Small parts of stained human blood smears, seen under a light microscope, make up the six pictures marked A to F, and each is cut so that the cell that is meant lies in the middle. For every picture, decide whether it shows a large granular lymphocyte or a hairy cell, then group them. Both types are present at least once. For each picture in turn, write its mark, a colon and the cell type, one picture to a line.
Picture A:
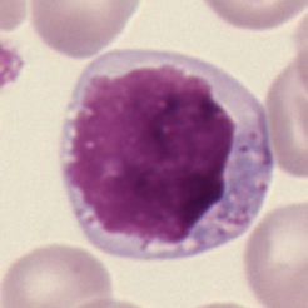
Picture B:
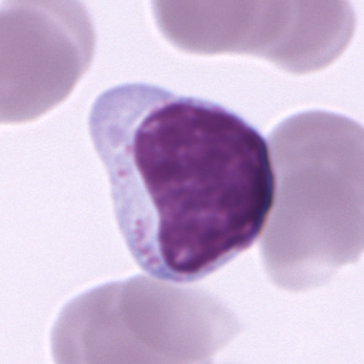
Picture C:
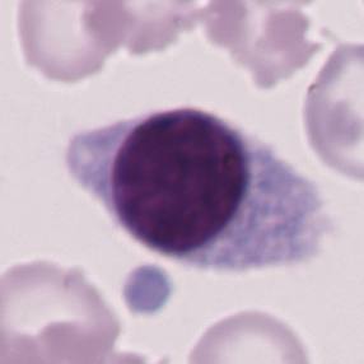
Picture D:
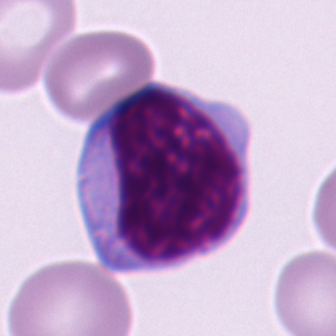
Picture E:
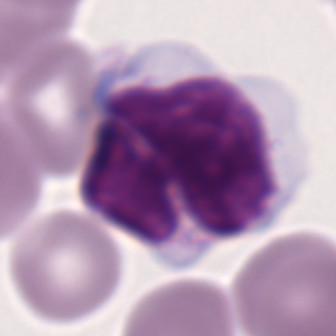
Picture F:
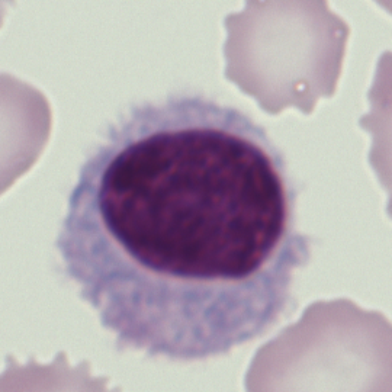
A: large granular lymphocyte
B: large granular lymphocyte
C: hairy cell
D: large granular lymphocyte
E: large granular lymphocyte
F: hairy cell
